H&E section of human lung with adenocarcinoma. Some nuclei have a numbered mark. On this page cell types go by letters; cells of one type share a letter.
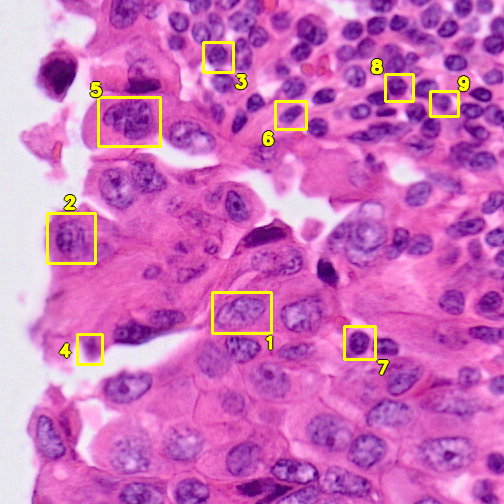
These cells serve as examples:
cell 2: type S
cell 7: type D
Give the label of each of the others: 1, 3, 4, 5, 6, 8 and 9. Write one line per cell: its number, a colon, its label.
1: type S
3: type D
4: type S
5: type S
6: type D
8: type D
9: type D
